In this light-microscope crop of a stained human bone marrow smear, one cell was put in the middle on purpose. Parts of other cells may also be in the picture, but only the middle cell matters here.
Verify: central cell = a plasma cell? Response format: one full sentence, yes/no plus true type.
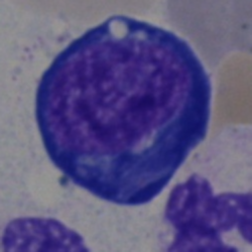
No, what sits in the centre of the crop is a proerythroblast rather than a plasma cell.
